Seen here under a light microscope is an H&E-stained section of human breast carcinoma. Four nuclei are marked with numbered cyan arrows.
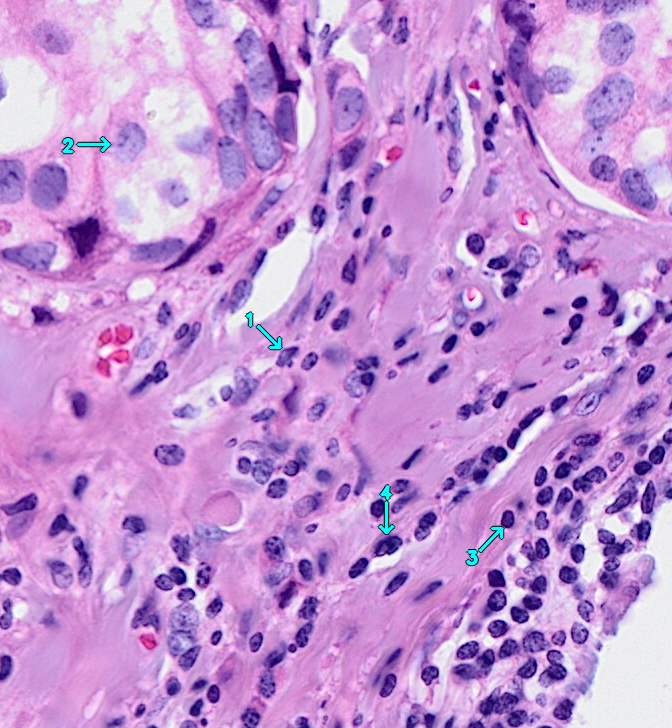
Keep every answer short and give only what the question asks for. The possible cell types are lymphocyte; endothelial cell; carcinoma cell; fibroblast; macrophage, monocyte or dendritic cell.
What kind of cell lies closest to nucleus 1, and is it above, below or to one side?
a lymphocyte to the right of nucleus 1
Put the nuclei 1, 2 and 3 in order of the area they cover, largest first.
2, 1, 3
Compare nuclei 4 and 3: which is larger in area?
4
